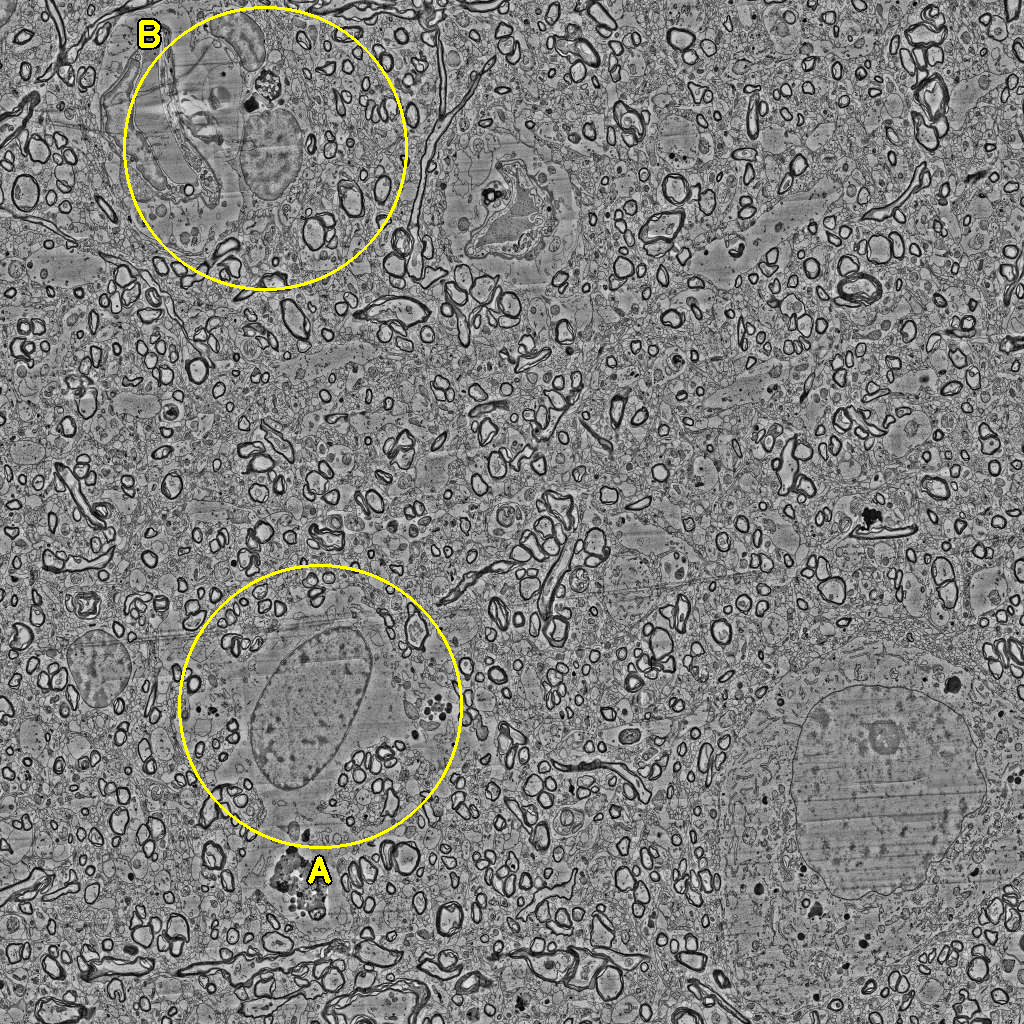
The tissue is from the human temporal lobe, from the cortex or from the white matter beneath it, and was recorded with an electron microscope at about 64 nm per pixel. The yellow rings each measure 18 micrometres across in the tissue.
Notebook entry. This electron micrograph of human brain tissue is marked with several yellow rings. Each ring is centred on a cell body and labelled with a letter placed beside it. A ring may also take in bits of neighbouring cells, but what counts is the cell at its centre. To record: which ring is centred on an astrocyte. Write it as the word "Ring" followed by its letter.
Ring A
